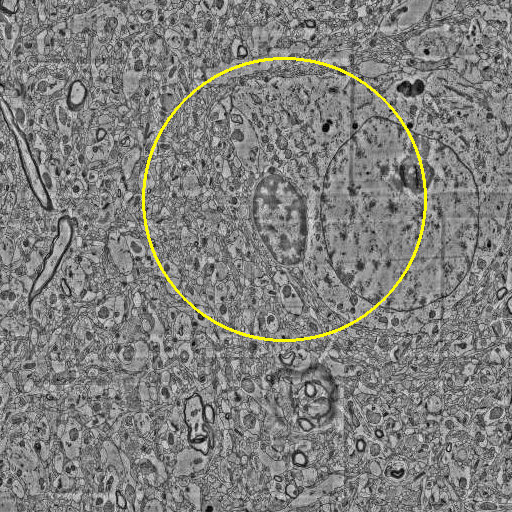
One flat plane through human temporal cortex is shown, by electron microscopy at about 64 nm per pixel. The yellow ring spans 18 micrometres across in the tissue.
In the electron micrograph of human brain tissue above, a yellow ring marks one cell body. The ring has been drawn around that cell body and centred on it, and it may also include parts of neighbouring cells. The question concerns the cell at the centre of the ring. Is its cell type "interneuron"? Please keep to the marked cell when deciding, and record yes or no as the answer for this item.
no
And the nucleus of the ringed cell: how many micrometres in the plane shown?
At approximately 6 by 3 micrometres, the nucleus is clearly longer than it is wide in this plane.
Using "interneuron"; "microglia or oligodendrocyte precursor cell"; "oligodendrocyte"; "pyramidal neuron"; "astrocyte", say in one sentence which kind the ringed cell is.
At the centre of the ring sits an oligodendrocyte.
